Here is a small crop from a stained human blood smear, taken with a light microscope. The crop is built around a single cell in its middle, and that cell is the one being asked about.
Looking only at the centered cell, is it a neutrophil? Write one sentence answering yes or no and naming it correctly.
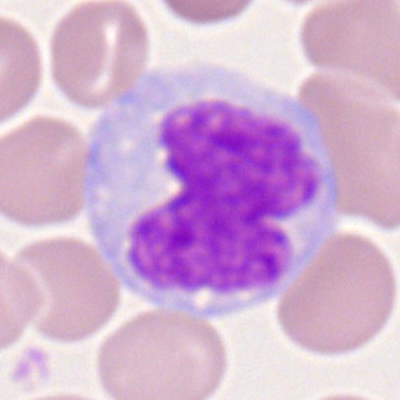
No, calling it a neutrophil is wrong; the middle cell is a monocyte.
